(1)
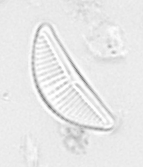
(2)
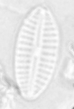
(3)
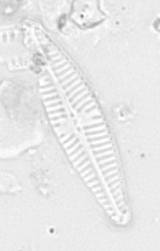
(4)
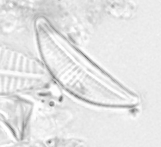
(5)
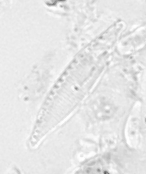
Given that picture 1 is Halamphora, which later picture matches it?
4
